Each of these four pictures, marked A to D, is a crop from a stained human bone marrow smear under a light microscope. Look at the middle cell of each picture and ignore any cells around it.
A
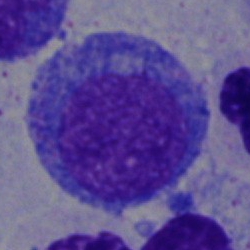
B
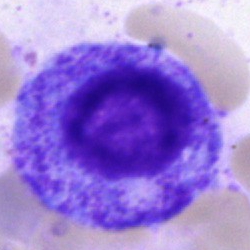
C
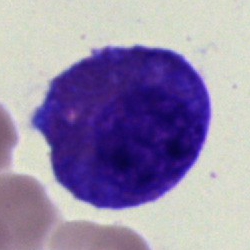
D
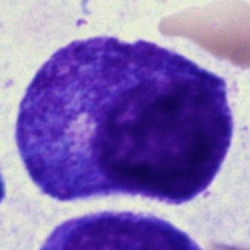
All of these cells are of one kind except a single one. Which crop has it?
C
